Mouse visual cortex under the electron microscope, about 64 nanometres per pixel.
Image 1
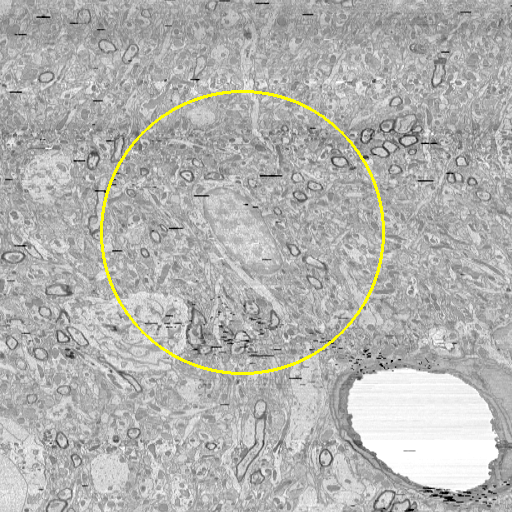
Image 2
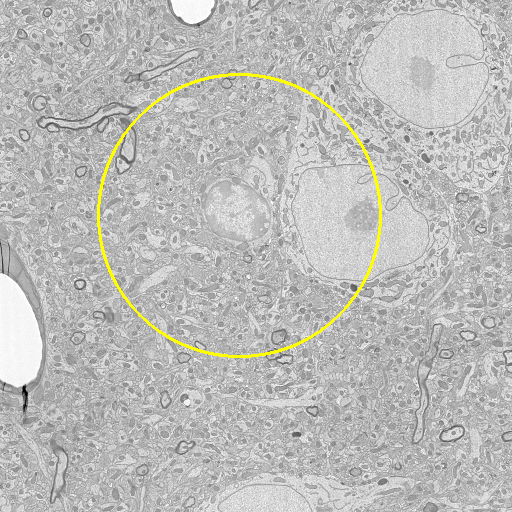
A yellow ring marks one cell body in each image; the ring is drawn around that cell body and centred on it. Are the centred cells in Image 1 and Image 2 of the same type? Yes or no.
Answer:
yes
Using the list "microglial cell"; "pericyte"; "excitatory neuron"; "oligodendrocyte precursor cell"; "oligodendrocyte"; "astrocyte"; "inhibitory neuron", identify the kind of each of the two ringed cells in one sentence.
Both pictures show an oligodendrocyte at the centre of the ring.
